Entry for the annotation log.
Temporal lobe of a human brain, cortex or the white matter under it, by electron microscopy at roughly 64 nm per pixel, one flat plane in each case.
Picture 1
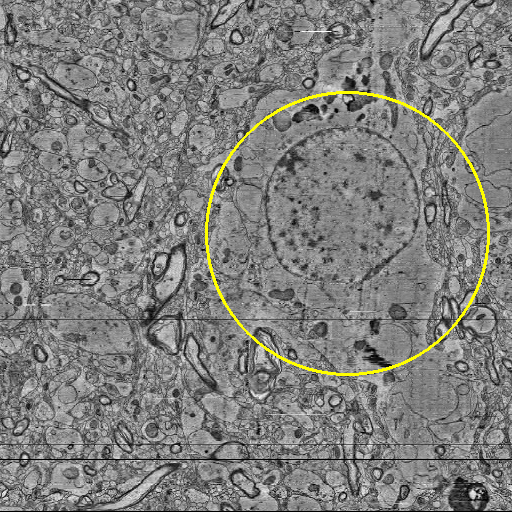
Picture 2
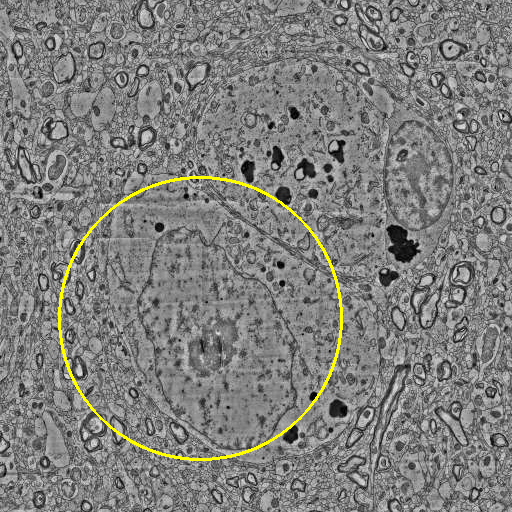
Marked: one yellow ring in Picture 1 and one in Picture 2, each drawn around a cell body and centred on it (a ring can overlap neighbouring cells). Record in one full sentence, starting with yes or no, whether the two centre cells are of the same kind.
No, the two cells are of two kinds.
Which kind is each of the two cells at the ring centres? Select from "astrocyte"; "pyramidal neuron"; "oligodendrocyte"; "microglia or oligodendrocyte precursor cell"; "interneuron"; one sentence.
The cell at the centre of the ring is an astrocyte in the first picture and a pyramidal neuron in the second.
